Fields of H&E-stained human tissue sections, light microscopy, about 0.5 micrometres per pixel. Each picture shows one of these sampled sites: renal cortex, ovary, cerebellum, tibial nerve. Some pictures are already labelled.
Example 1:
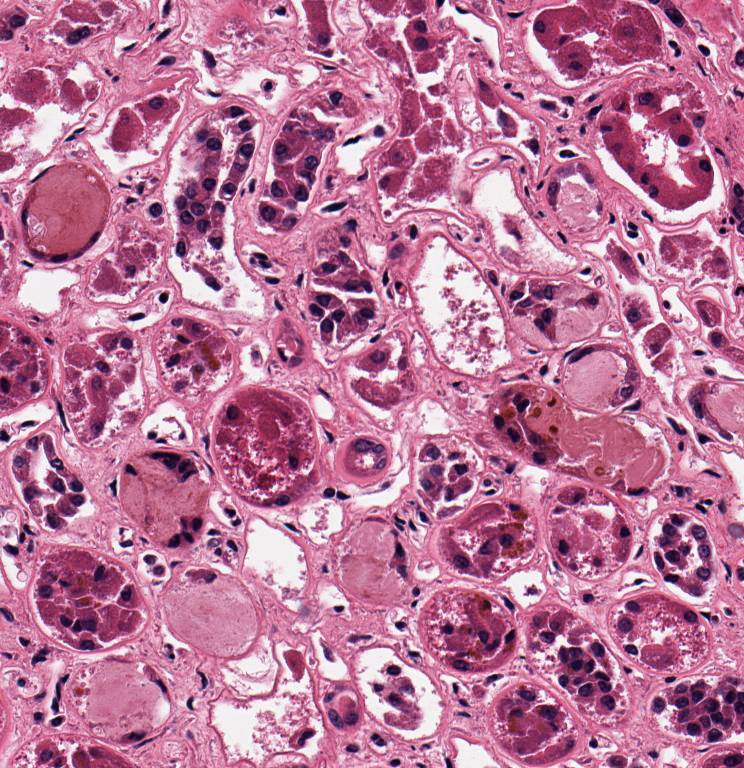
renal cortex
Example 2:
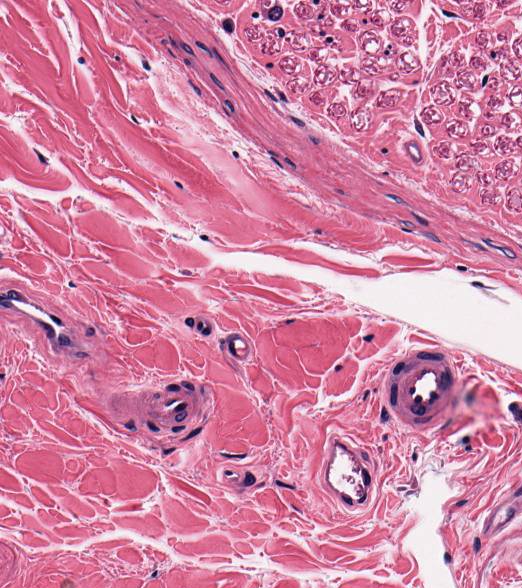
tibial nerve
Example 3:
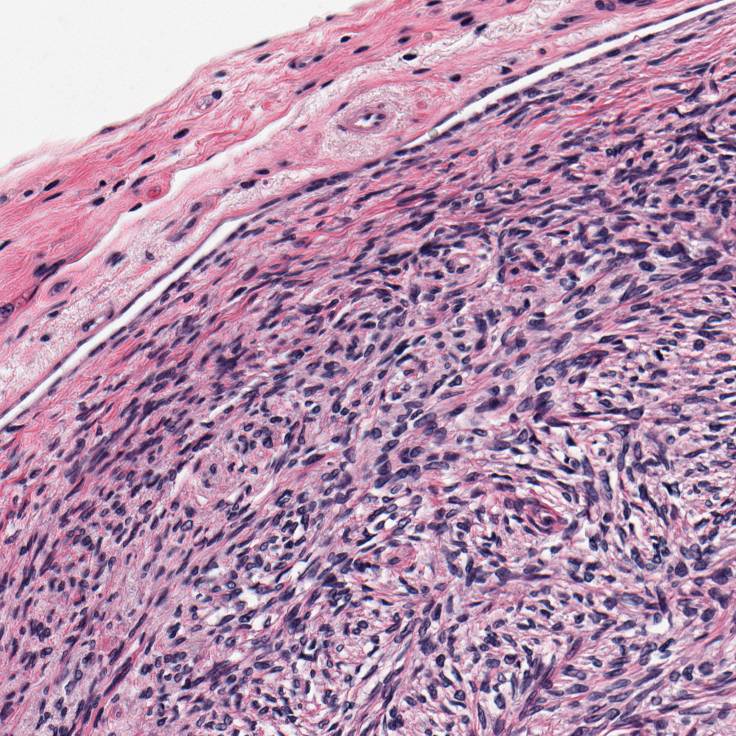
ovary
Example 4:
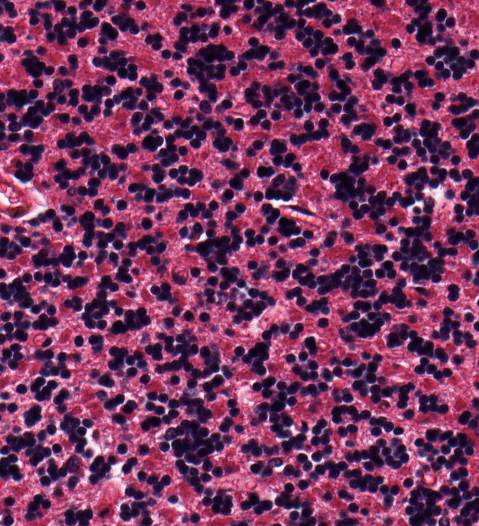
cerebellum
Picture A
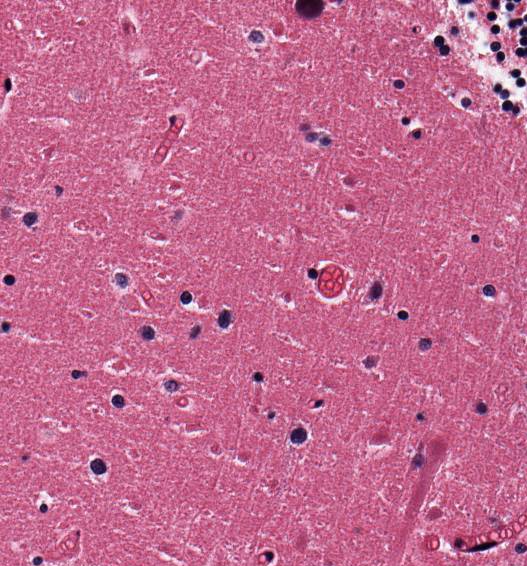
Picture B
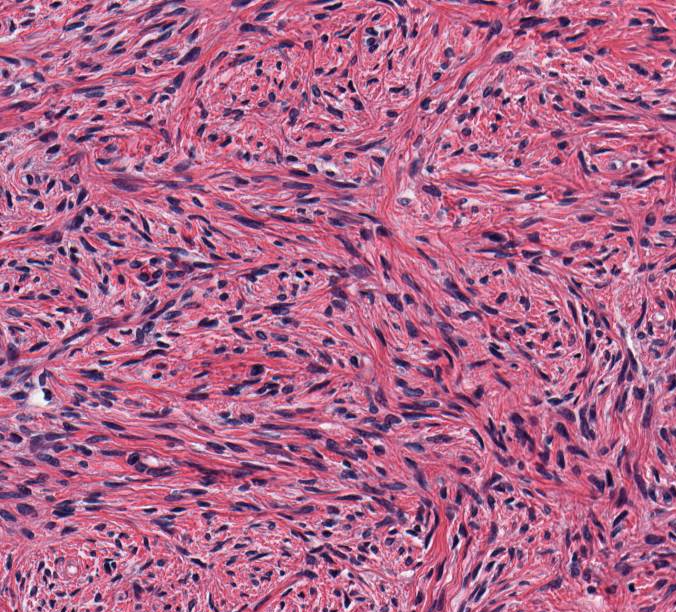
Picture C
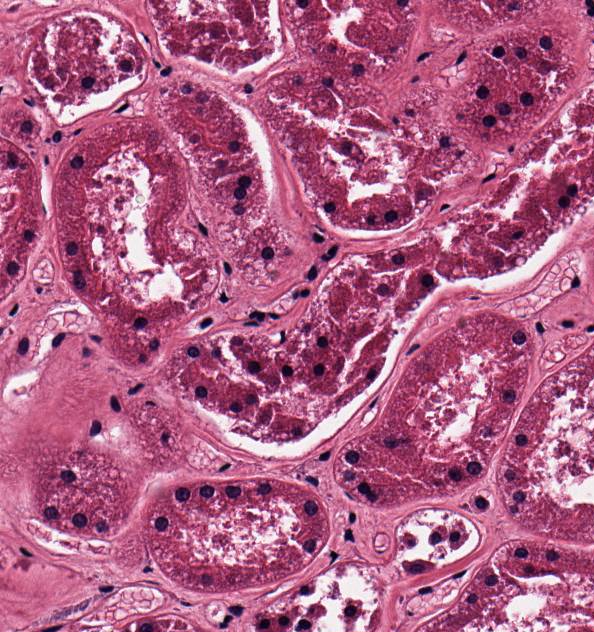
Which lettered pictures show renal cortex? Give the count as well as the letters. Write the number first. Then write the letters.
1, namely C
